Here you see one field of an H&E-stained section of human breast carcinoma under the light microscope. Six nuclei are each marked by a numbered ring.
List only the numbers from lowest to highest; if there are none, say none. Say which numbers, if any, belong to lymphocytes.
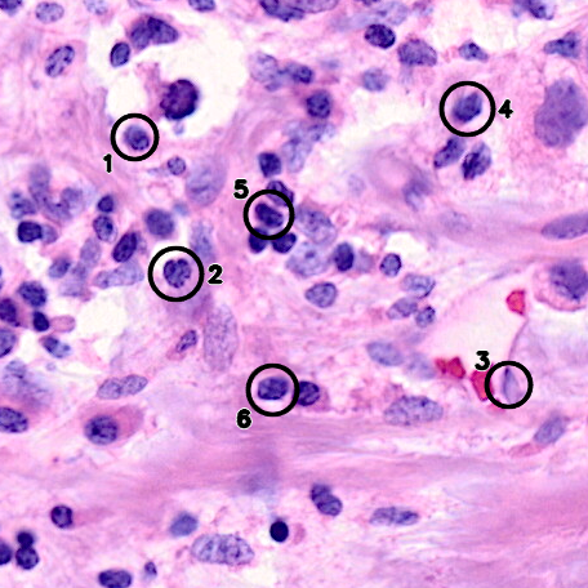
2, 4, 5, 6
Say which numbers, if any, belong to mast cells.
1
